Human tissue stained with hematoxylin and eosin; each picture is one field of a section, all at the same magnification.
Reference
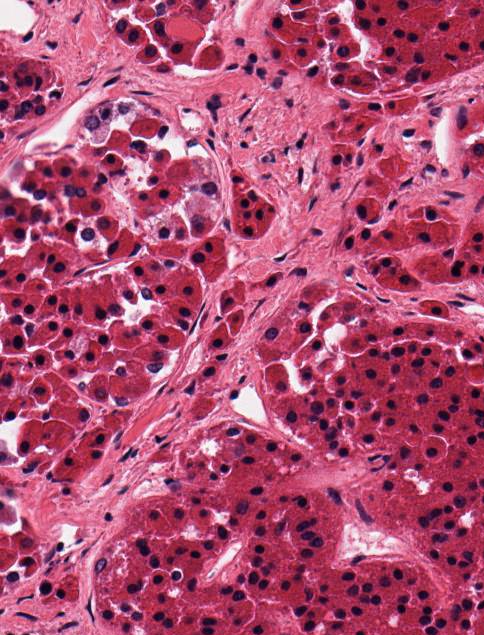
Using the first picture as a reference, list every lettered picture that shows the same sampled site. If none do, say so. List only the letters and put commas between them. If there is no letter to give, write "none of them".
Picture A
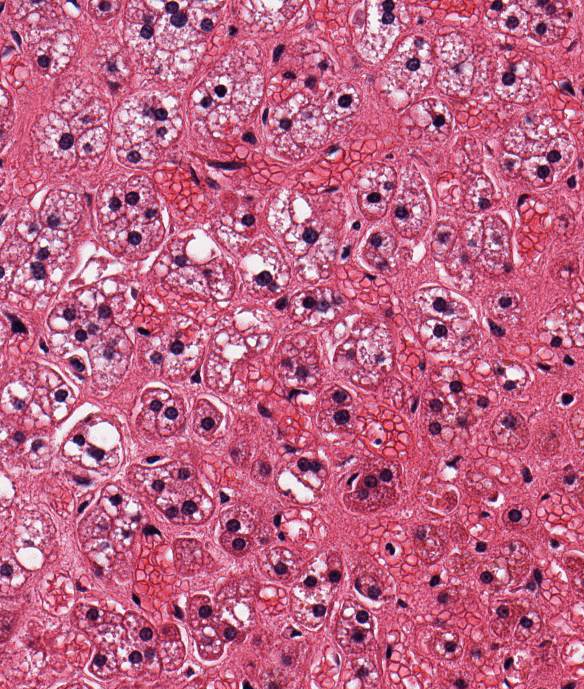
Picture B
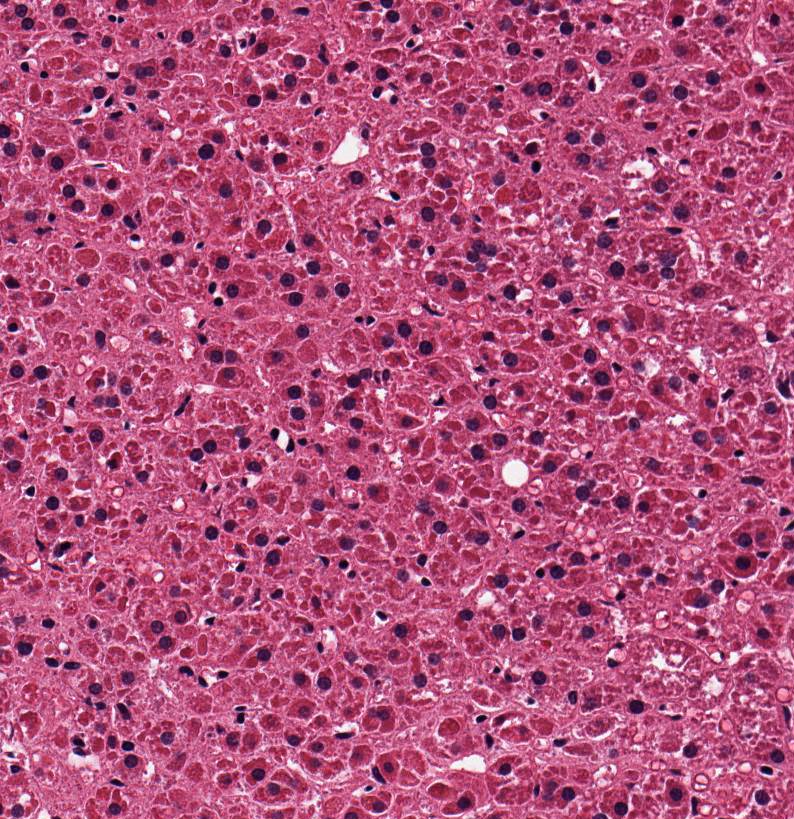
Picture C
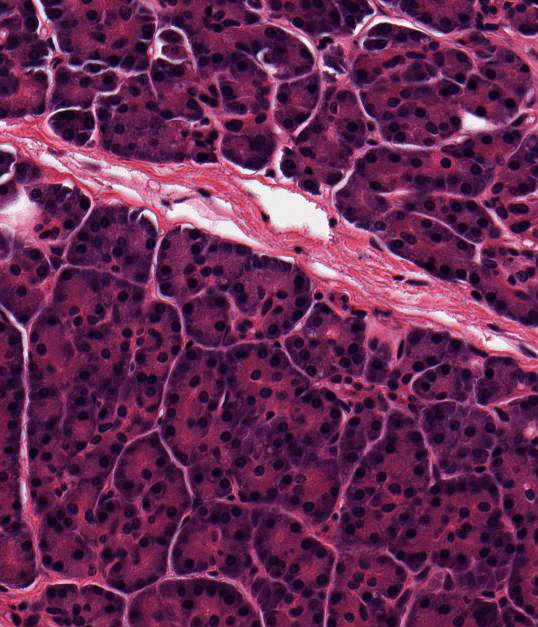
none of them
